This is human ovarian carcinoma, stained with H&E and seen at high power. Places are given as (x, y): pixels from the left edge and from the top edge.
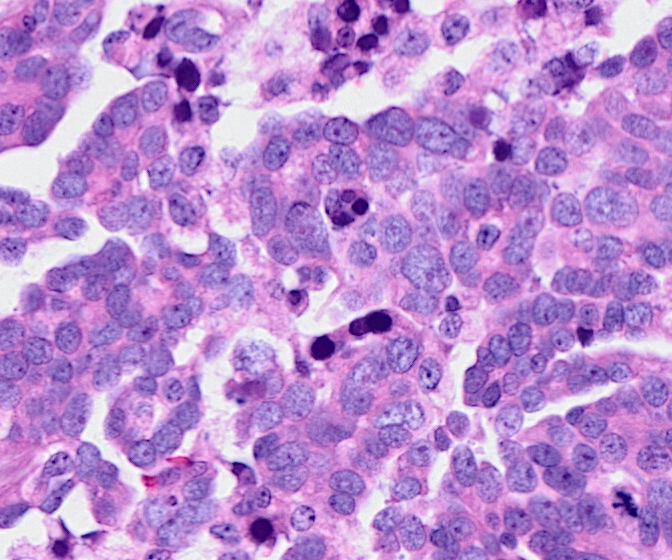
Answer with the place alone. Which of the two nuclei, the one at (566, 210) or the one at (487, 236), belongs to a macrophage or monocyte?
(487, 236)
